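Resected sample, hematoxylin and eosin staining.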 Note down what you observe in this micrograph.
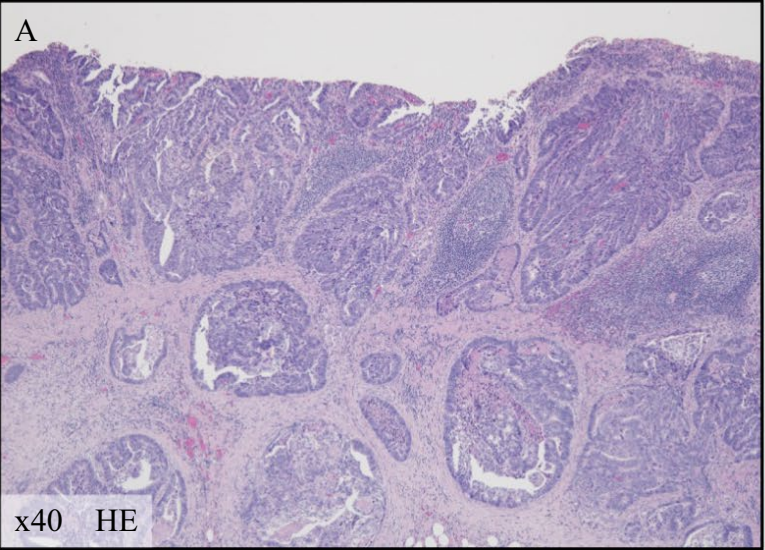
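This low-magnification section shows a well-differentiated tubular adenocarcinoma made of crowded, irregular glands and tubules lined by columnar epithelium with dark purple, stratified nuclei. At the surface the tumor forms a dense sheet of back-to-back glands, with a few pale blue lymphoid aggregates lying among them. Deeper down, rounded nests of neoplastic glands with open, partly debris-filled lumina are scattered within pink fibrous stroma, showing the tumor infiltrating the submucosal layer. Small red areas of hemorrhage are seen in the stroma.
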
